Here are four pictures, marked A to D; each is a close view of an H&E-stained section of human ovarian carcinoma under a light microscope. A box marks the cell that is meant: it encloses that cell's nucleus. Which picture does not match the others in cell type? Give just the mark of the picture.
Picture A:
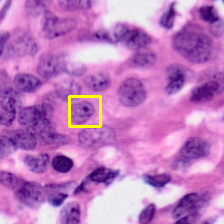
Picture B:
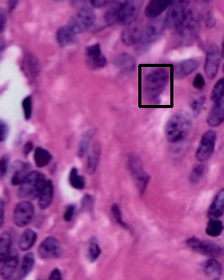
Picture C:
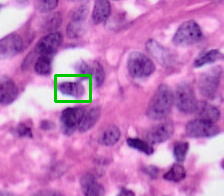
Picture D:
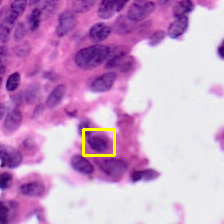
A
